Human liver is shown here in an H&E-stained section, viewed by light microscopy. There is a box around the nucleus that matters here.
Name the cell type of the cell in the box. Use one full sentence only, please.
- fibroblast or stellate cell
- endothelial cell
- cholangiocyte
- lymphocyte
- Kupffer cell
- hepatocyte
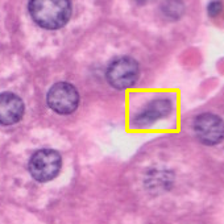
Microscopically, the cell in the box is categorized as a Kupffer cell.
